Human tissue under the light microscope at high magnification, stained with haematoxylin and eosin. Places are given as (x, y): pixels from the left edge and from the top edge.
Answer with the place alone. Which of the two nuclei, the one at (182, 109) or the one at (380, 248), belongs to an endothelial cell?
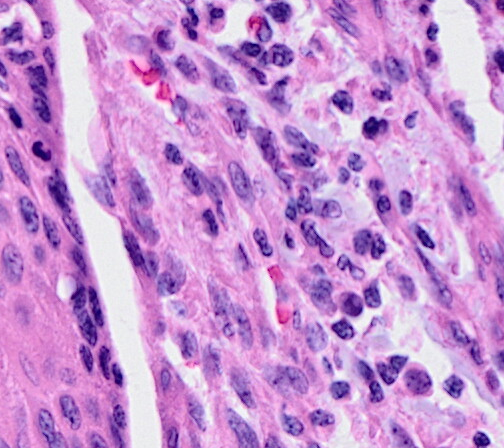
(182, 109)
